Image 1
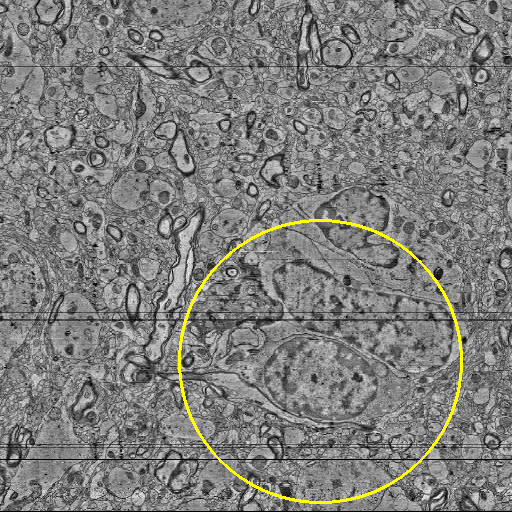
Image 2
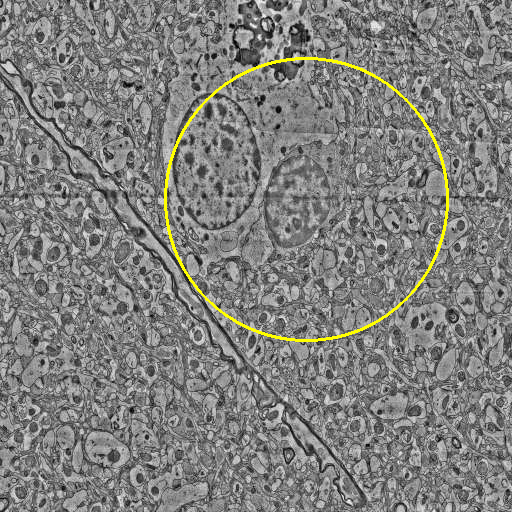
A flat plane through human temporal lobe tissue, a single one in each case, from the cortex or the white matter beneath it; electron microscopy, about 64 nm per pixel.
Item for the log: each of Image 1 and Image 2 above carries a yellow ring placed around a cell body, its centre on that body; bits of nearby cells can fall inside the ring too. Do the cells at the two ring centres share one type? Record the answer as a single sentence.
Yes, the two cells at the ring centres in Image 1 and Image 2 share one type.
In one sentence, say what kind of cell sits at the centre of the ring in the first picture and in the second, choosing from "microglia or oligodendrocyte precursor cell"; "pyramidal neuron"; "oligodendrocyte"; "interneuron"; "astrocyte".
Each cell at the centre of a ring is an oligodendrocyte.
